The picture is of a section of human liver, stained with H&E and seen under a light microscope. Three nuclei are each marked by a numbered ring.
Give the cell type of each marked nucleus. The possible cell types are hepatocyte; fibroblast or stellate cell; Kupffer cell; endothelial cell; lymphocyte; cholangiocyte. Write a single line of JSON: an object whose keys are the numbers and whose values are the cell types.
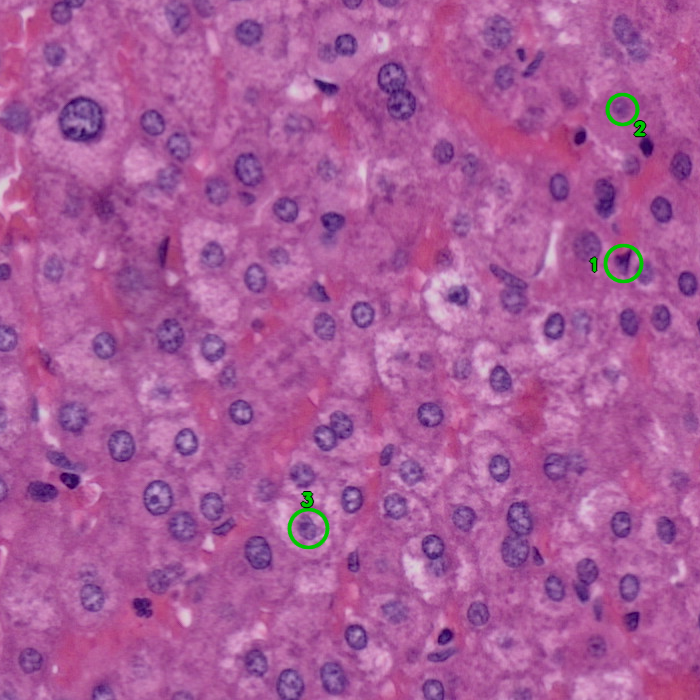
{"1": "endothelial cell", "2": "hepatocyte", "3": "hepatocyte"}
